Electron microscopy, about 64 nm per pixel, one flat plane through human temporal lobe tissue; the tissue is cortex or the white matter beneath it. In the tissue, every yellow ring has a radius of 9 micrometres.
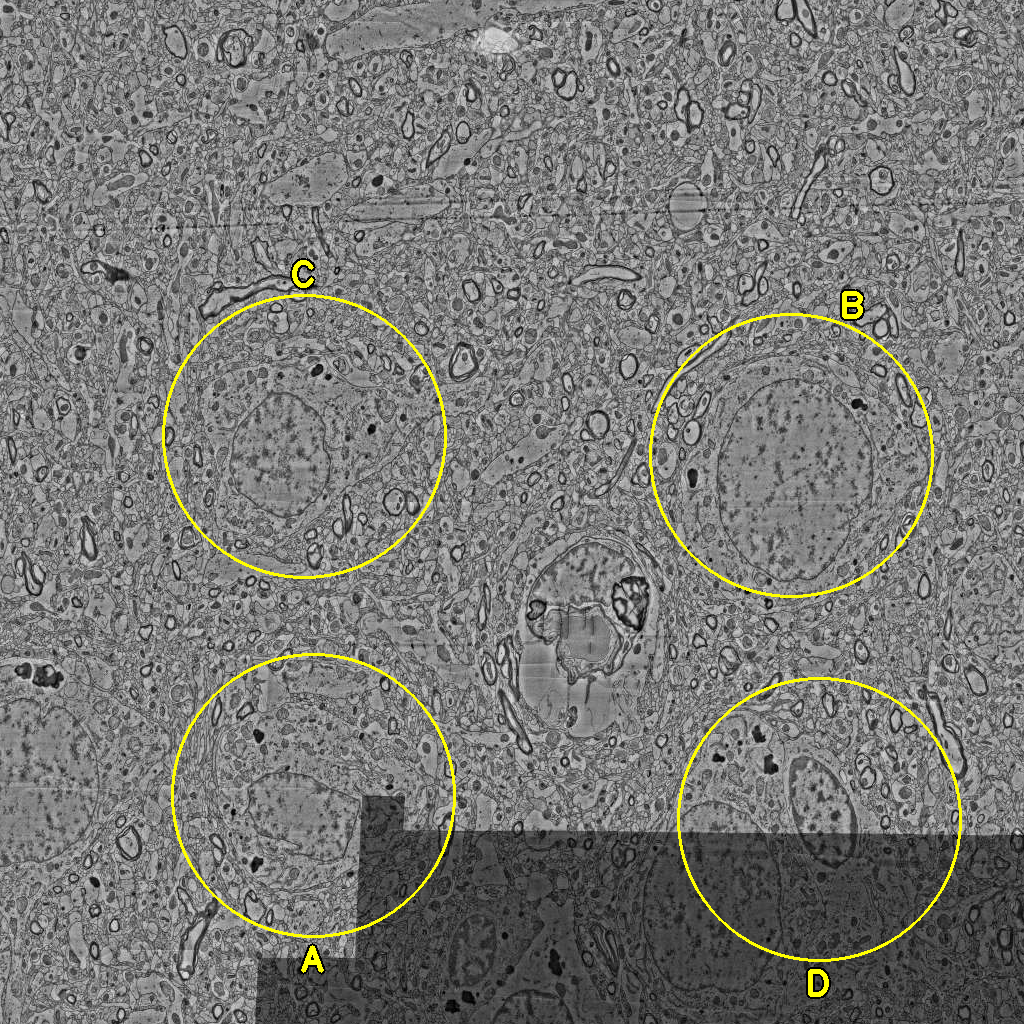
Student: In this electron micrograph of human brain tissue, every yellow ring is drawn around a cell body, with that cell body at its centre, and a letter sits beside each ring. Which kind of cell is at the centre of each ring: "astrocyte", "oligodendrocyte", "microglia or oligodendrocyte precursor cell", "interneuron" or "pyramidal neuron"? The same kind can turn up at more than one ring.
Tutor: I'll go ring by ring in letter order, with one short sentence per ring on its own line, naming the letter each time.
Ring A: the cell at its centre is a pyramidal neuron.
Ring B: the cell at its centre is a pyramidal neuron.
Ring C: the cell at its centre is a pyramidal neuron.
Ring D: the cell at its centre is a microglial cell or oligodendrocyte precursor cell.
